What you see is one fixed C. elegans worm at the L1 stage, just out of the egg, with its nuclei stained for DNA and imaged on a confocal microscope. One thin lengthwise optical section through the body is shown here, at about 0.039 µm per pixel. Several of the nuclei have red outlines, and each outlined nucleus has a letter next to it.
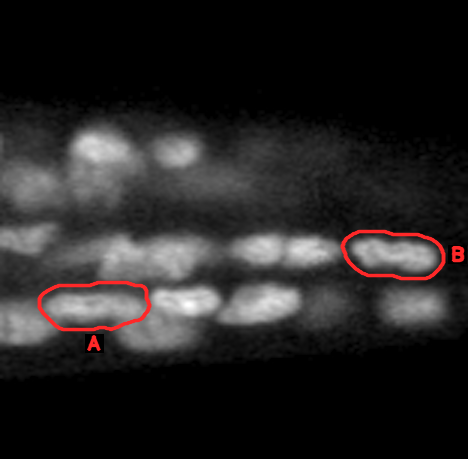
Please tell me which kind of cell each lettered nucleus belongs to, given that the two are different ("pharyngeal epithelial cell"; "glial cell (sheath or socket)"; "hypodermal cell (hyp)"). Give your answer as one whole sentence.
A is from a glial cell (sheath or socket), and B is from a pharyngeal epithelial cell.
